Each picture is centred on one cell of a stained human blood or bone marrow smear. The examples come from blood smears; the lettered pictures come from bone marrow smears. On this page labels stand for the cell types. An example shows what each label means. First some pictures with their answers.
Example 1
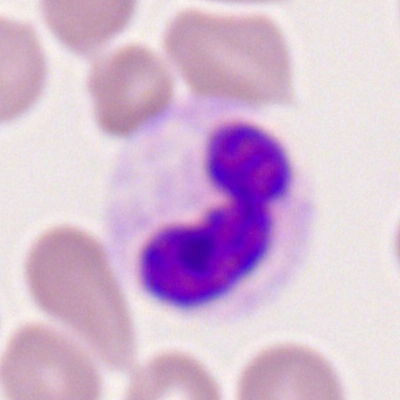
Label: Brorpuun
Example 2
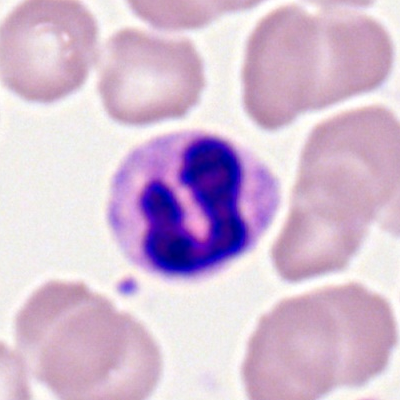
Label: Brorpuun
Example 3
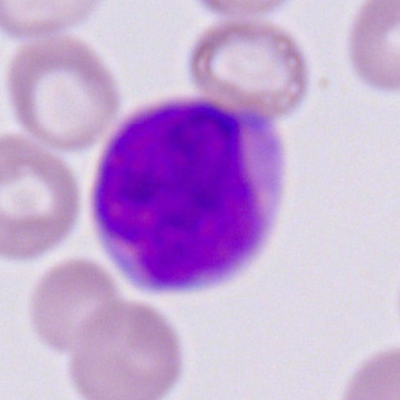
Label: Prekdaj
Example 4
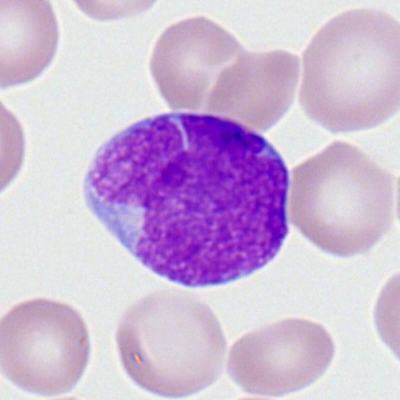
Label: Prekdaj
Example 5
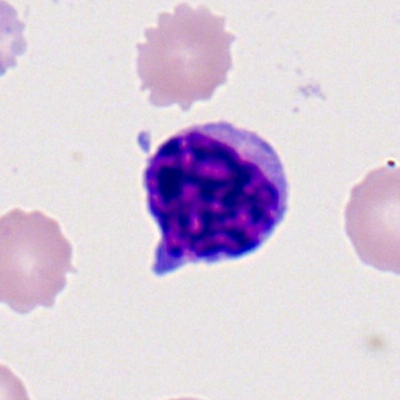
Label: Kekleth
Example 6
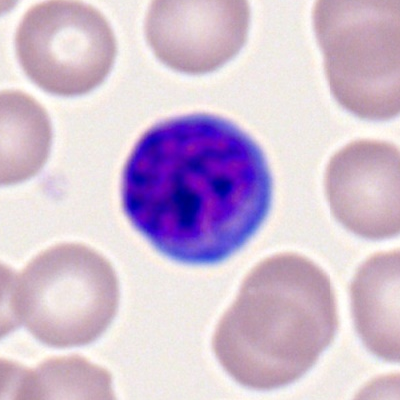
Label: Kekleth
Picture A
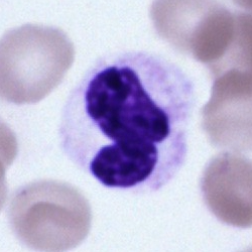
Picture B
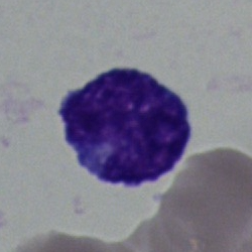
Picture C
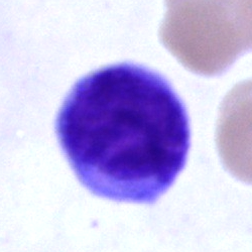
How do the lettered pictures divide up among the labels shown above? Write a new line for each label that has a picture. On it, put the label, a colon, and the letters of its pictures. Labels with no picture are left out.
Brorpuun: A
Prekdaj: B, C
